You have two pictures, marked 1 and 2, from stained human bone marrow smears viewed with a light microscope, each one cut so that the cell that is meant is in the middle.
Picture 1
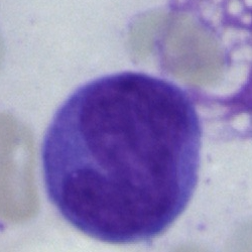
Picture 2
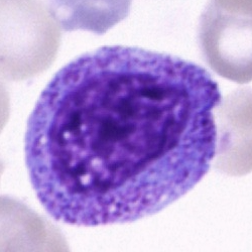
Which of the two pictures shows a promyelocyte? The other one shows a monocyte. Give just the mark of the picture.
2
